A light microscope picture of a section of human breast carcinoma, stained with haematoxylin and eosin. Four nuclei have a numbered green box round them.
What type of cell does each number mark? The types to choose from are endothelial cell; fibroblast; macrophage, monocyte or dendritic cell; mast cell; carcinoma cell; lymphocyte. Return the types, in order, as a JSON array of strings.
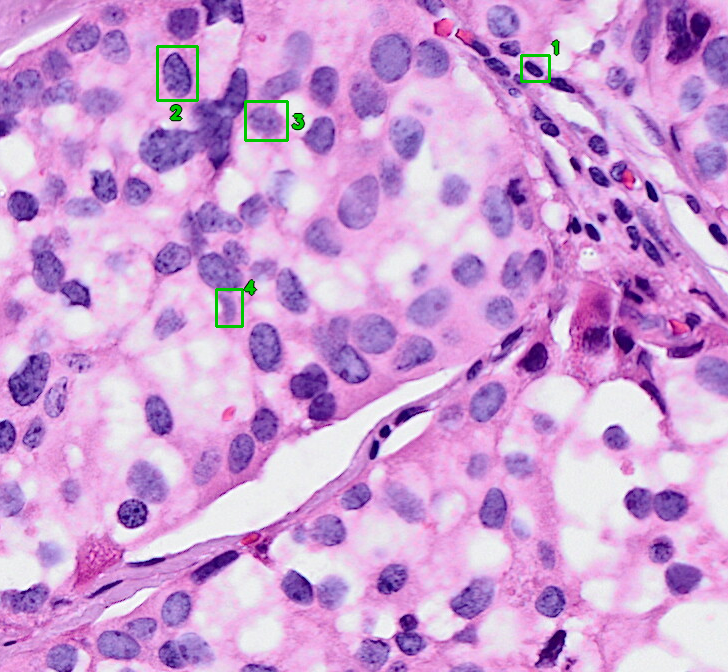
["lymphocyte", "carcinoma cell", "carcinoma cell", "carcinoma cell"]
